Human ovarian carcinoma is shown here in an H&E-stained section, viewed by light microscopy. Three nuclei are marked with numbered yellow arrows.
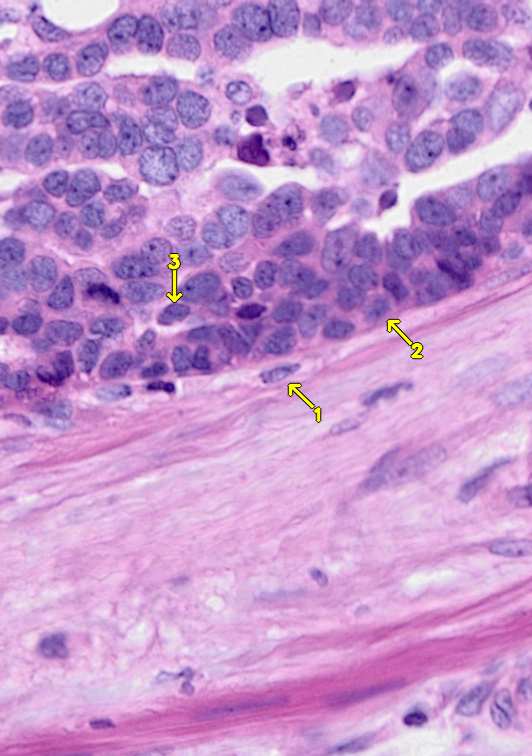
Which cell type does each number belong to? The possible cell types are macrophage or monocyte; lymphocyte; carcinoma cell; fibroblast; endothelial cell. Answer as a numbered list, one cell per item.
1. macrophage or monocyte
2. carcinoma cell
3. carcinoma cell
